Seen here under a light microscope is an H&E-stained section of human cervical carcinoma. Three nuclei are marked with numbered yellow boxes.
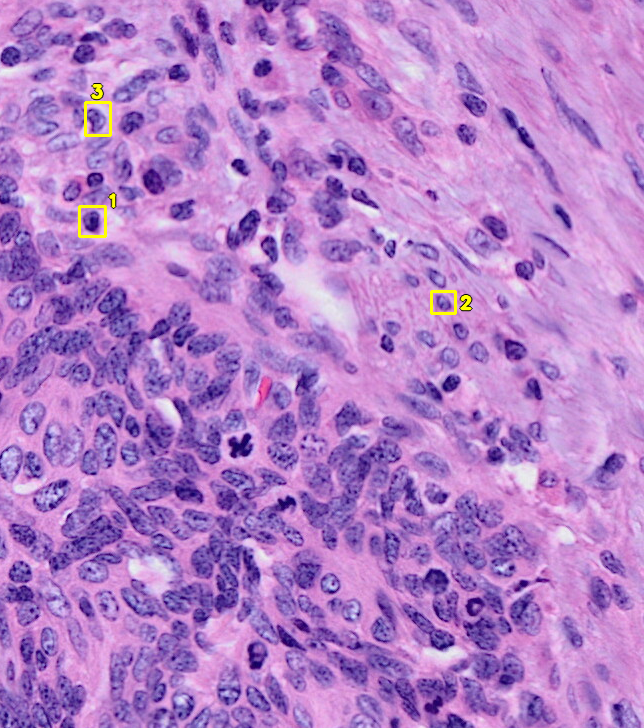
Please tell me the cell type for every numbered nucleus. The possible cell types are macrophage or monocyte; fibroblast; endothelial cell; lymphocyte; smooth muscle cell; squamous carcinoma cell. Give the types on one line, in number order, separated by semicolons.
lymphocyte; smooth muscle cell; lymphocyte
